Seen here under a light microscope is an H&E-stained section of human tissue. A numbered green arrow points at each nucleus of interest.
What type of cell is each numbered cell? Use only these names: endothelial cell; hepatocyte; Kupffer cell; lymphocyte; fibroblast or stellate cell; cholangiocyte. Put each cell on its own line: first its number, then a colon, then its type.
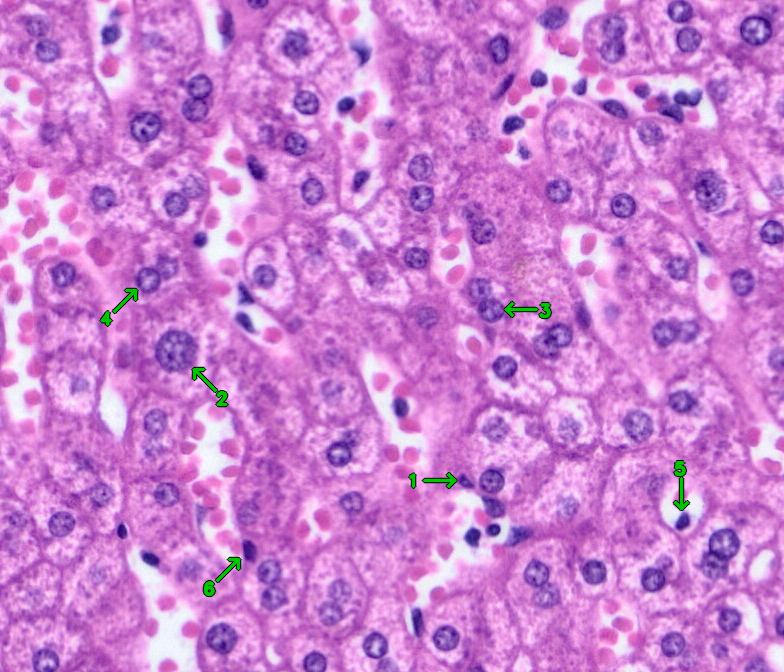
1: fibroblast or stellate cell
2: hepatocyte
3: hepatocyte
4: hepatocyte
5: lymphocyte
6: fibroblast or stellate cell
